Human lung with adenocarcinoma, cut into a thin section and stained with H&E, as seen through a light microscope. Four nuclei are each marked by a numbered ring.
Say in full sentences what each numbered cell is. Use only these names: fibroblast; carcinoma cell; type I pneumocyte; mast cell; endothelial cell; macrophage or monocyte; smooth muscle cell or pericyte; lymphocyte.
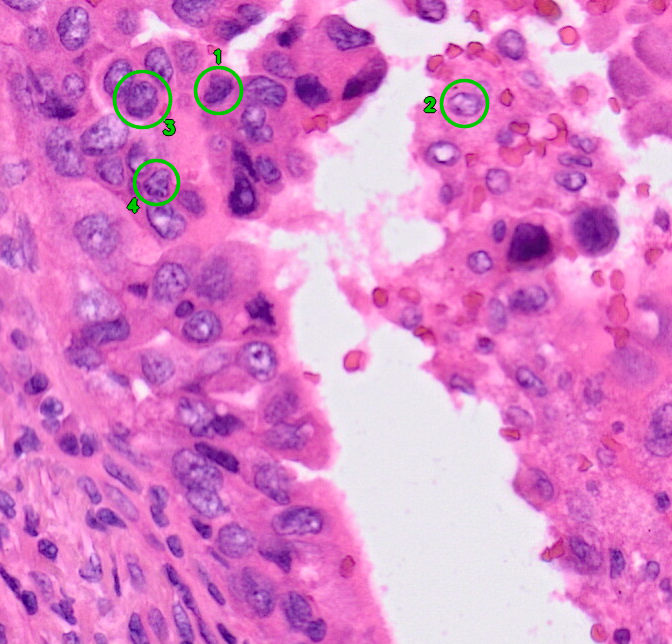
Cell 1 is a carcinoma cell, cell 2 is a macrophage or monocyte, cell 3 is a carcinoma cell and cell 4 is a carcinoma cell.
